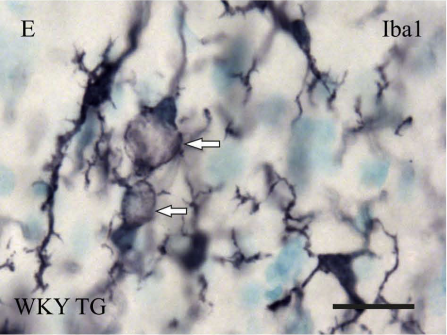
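Brain tissue with darkly stained activated microglia bearing thick, bushy, irregular processes. Two rounded, cell-sized profiles with a dark outline lie close together next to stained processes, consistent with phagocytic activity. Pale blue-green counterstained nuclei are visible in the unstained background.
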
